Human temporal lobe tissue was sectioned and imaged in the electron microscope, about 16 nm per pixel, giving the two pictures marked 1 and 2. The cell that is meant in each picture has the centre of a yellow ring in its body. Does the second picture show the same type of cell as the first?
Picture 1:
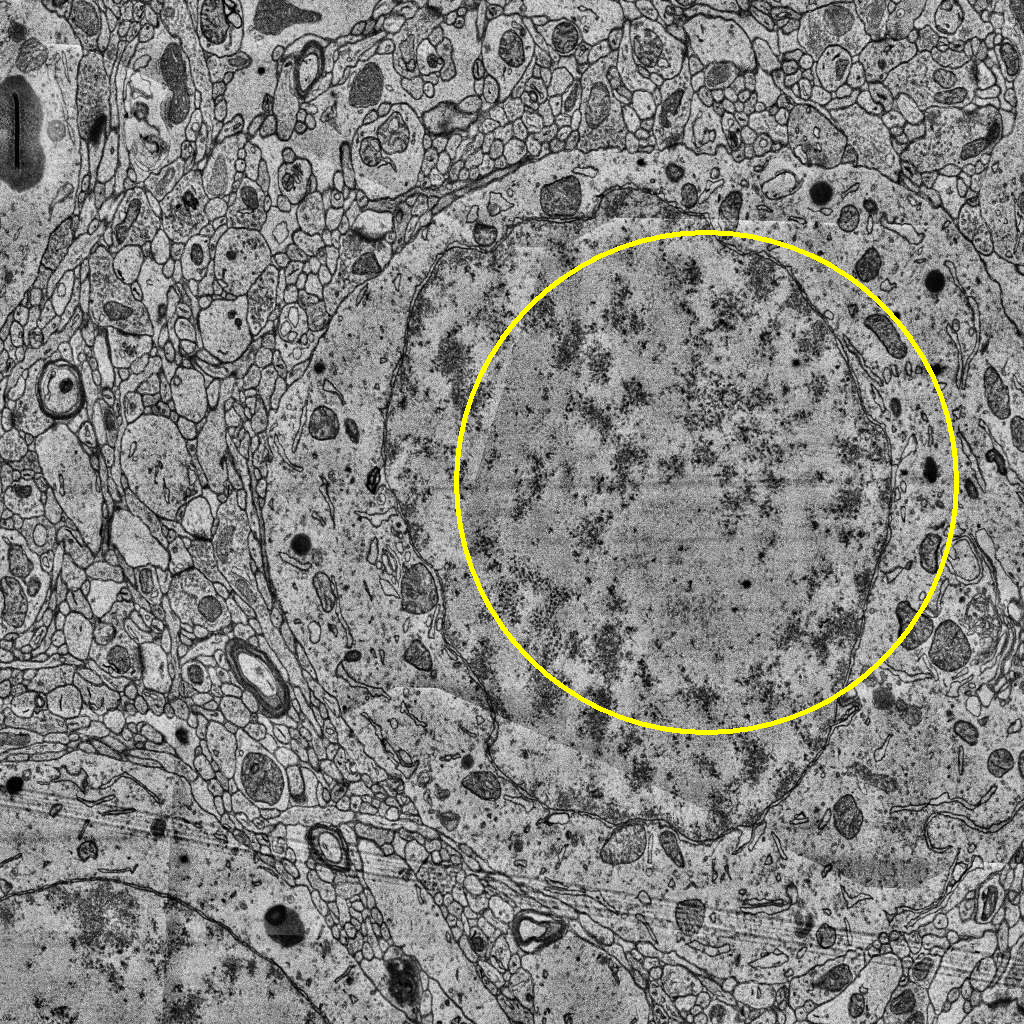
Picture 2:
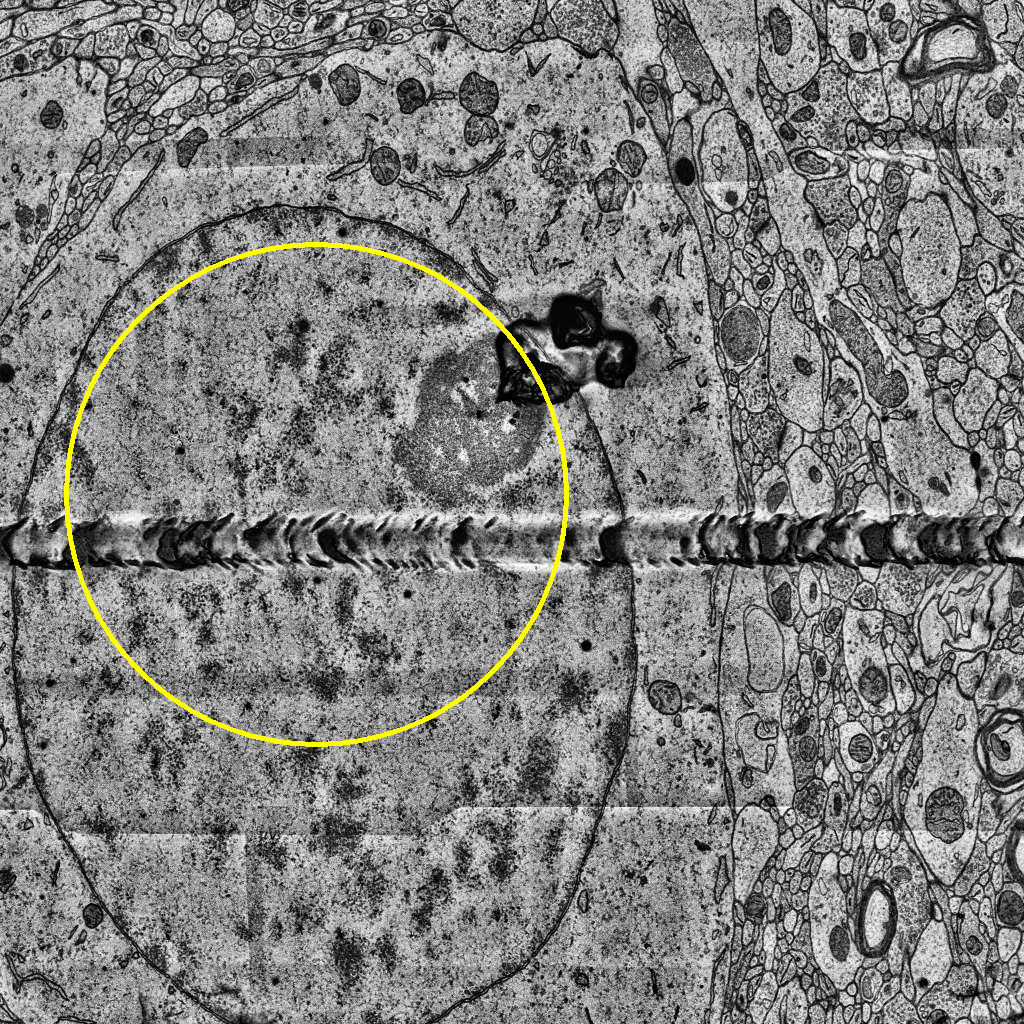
No; the cell in picture 1 is an interneuron, while the one in picture 2 is a pyramidal neuron.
